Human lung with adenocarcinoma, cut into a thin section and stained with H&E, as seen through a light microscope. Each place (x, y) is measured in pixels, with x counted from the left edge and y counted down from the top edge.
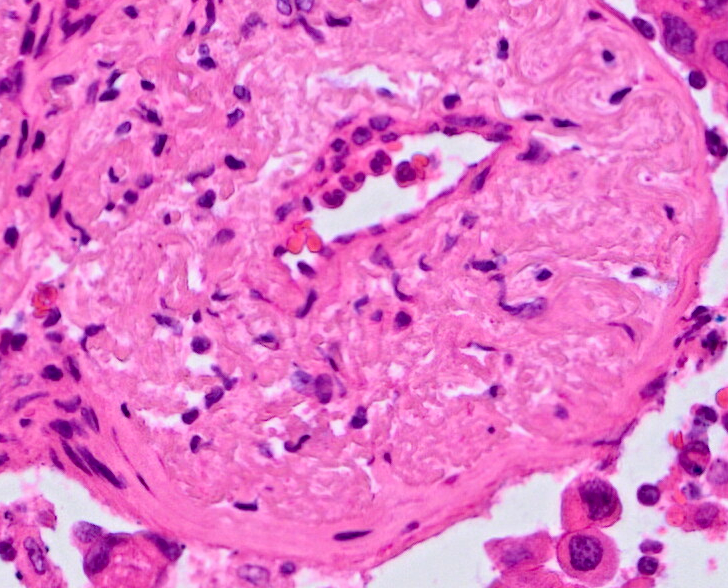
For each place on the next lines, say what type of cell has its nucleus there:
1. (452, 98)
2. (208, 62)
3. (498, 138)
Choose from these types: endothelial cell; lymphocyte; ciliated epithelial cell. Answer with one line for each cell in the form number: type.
1: lymphocyte
2: lymphocyte
3: endothelial cell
